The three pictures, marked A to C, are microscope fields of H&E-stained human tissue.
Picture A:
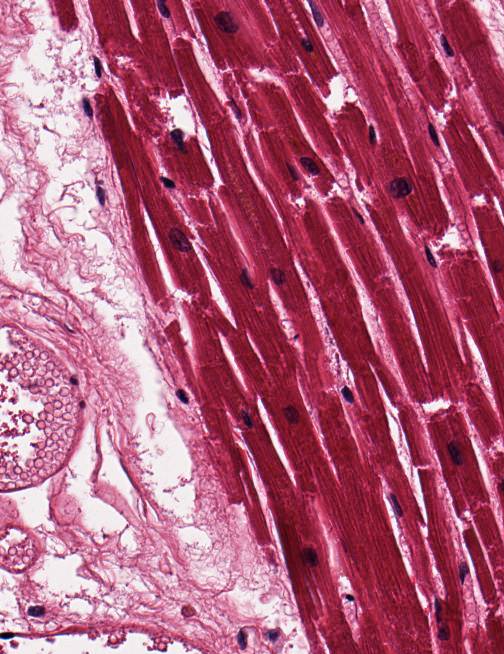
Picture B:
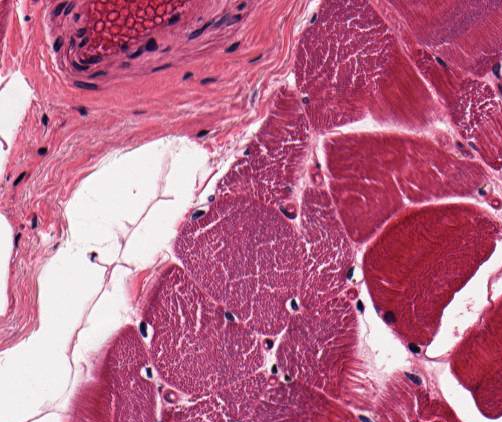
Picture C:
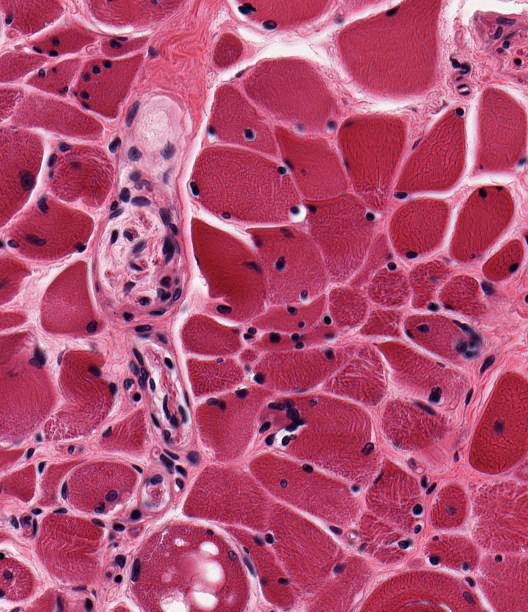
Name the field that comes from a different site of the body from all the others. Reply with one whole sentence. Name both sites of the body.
Unlike the rest, which come from skeletal muscle, picture A comes from the left ventricle of the heart.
